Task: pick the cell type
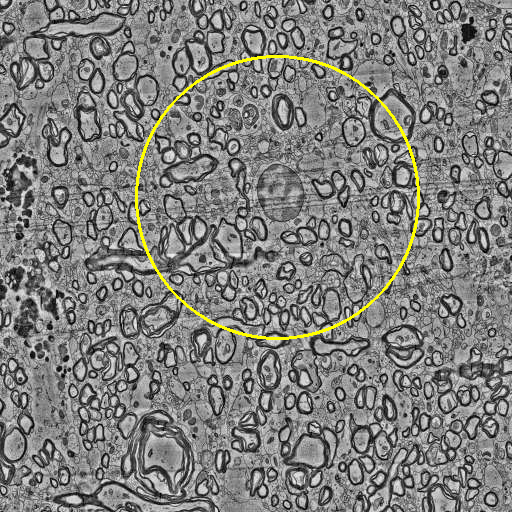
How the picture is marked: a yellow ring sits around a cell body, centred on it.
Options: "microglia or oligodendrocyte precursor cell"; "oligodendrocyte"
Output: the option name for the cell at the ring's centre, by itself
microglia or oligodendrocyte precursor cell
